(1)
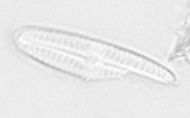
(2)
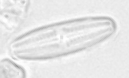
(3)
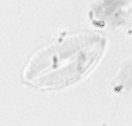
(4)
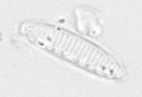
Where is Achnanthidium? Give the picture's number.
2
